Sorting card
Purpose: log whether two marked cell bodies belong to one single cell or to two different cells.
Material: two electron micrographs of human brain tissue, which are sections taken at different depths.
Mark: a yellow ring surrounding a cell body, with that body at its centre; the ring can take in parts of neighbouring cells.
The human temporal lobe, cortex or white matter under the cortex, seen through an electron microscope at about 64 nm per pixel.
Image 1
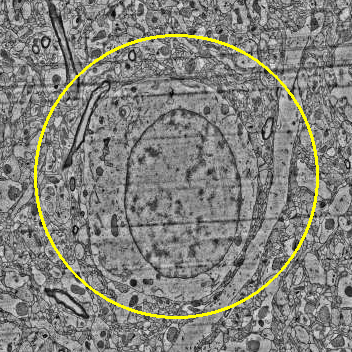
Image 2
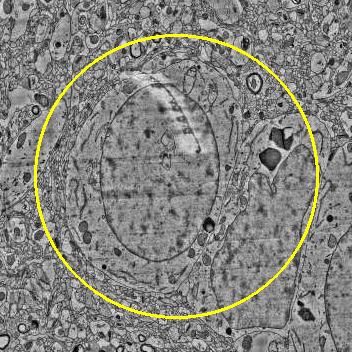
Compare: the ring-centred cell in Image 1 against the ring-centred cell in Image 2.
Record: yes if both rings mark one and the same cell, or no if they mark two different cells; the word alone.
no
